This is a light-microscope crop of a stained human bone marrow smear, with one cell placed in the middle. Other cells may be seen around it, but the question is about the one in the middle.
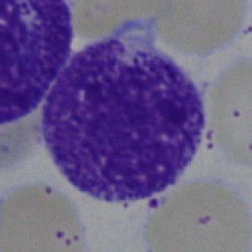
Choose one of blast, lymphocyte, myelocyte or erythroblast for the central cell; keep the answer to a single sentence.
The cell shown in the center of this light-microscope crop is a myelocyte.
